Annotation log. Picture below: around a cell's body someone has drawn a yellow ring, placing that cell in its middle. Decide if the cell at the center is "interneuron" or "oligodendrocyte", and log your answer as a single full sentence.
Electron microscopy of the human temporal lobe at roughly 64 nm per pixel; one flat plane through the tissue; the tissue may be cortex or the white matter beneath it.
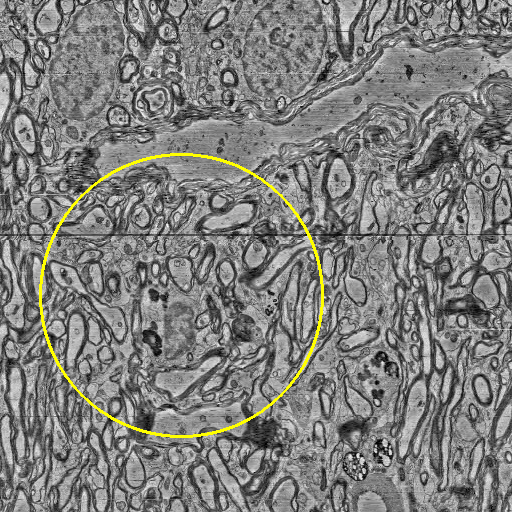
My entry records an oligodendrocyte as the cell sitting at the center of the yellow ring.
